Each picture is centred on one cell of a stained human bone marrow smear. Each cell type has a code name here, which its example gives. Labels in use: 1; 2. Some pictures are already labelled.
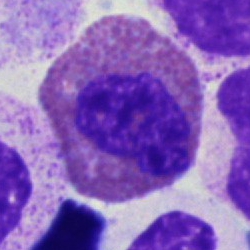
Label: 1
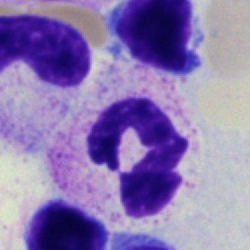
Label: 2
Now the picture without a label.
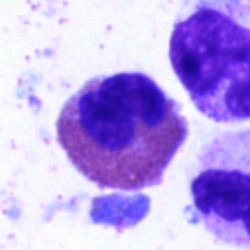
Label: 1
